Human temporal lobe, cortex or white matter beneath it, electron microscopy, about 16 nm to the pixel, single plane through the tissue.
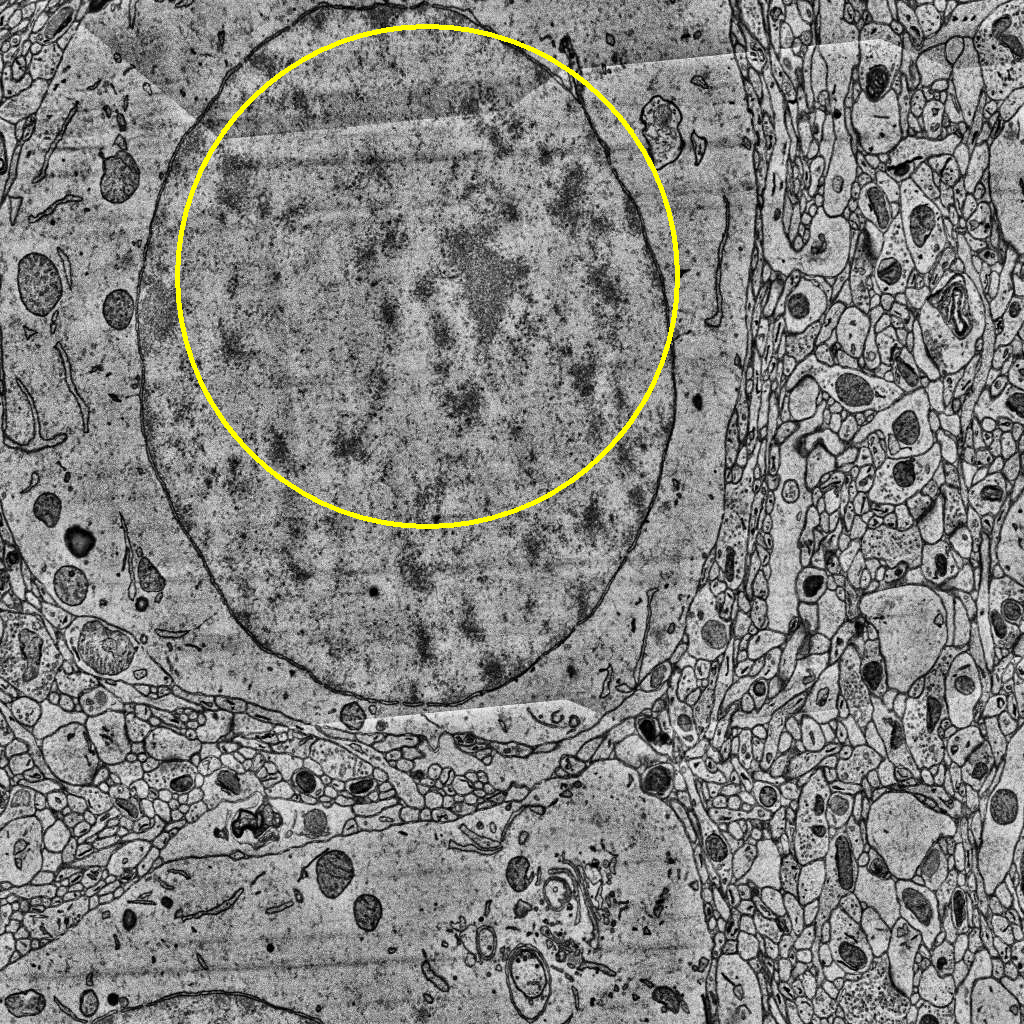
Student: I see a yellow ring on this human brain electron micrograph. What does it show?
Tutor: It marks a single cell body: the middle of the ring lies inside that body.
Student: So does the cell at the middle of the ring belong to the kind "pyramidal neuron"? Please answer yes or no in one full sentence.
Yes, the cell lying at the middle of that yellow ring belongs to this kind.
